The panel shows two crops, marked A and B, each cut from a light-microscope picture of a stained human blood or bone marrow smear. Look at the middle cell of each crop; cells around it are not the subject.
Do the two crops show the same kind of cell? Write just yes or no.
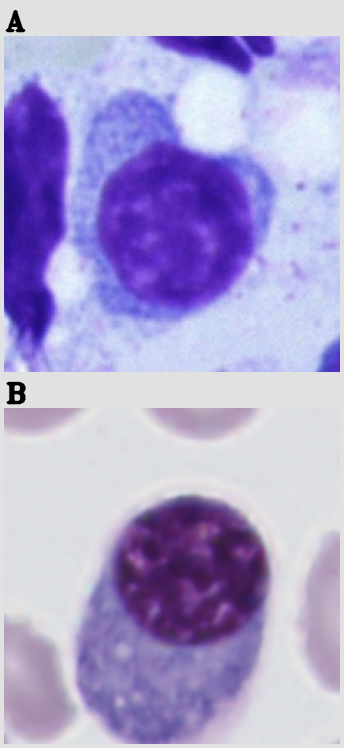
no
